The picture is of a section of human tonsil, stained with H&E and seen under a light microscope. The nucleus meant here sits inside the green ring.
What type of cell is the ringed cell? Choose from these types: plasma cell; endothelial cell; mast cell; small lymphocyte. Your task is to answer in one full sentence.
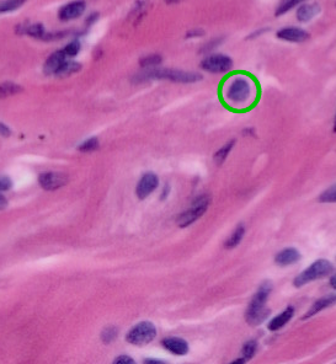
The identity of the ringed cell: it is a mast cell.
